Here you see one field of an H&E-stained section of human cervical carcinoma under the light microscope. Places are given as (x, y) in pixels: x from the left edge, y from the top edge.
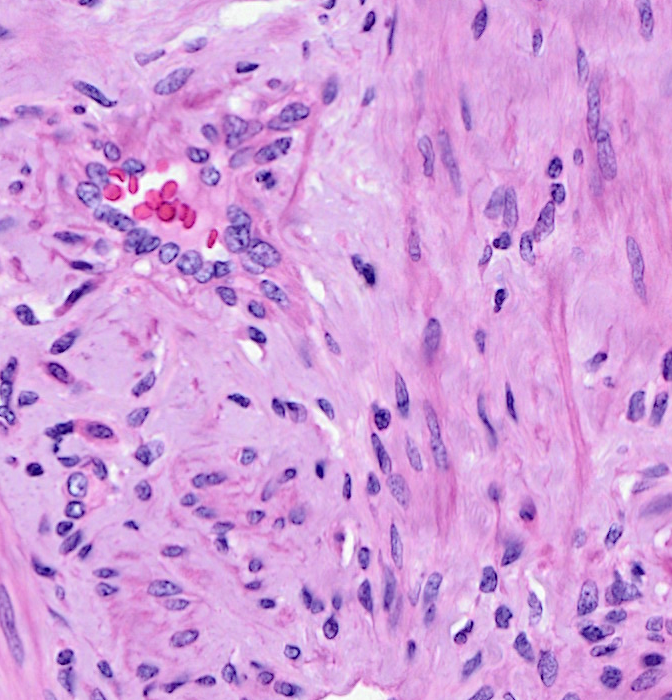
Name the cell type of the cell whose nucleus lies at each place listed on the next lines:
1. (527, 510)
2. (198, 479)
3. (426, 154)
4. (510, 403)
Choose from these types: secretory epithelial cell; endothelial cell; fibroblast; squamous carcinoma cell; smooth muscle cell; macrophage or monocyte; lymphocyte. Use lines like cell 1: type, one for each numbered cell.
cell 1: smooth muscle cell
cell 2: smooth muscle cell
cell 3: smooth muscle cell
cell 4: fibroblast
